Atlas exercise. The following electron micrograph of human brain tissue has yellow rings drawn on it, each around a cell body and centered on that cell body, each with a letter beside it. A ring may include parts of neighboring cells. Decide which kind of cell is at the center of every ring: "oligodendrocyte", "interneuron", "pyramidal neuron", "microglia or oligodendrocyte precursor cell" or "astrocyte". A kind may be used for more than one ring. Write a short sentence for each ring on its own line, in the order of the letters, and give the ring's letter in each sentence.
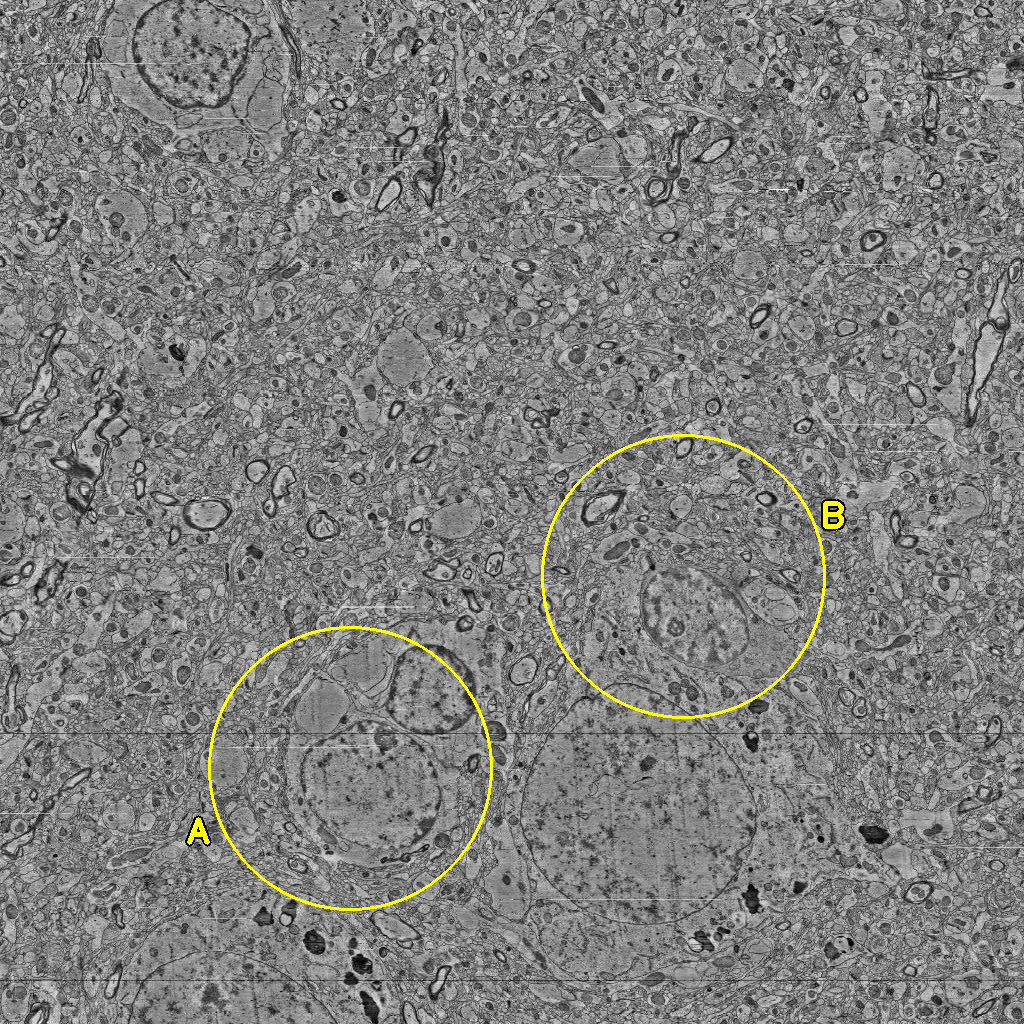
Ring A frames an astrocyte at its center.
Ring B frames an oligodendrocyte at its center.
